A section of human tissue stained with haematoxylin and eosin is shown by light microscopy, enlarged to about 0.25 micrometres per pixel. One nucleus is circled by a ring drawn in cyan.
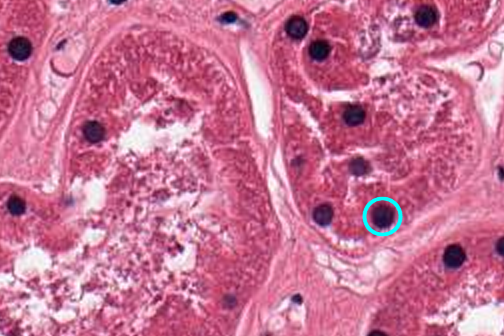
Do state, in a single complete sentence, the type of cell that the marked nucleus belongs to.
In the section shown, the marked nucleus belongs to a proximal tubule cell.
